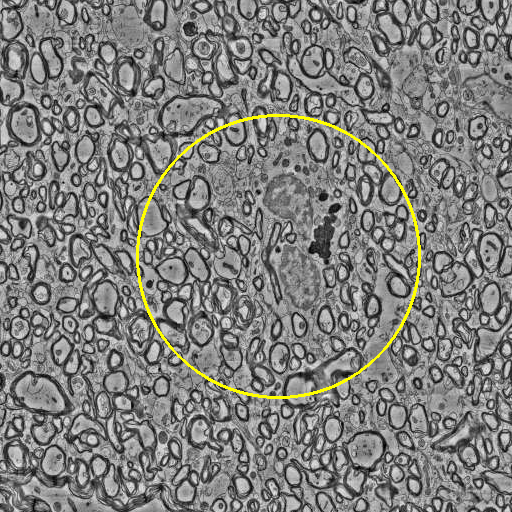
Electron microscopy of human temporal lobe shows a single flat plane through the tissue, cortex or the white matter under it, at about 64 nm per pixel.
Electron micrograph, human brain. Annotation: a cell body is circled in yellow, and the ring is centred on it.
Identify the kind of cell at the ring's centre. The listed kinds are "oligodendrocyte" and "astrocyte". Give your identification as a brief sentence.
The circled cell body is that of an oligodendrocyte.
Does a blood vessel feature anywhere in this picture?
No, none shows.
